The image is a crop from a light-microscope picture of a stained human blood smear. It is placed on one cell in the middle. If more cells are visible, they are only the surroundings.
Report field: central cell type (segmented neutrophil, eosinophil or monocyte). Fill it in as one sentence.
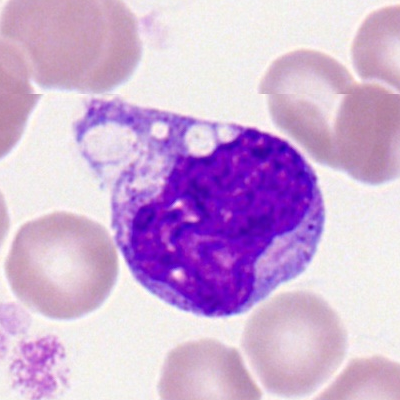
In the centre of this crop there is a monocyte.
